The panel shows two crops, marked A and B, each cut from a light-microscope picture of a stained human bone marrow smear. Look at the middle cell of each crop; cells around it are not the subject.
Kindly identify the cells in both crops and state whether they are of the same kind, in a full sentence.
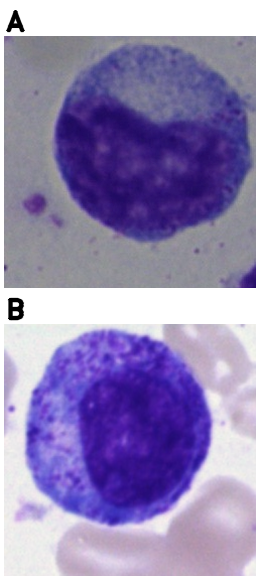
Yes, both crops here show promyelocytes, the pair of them.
